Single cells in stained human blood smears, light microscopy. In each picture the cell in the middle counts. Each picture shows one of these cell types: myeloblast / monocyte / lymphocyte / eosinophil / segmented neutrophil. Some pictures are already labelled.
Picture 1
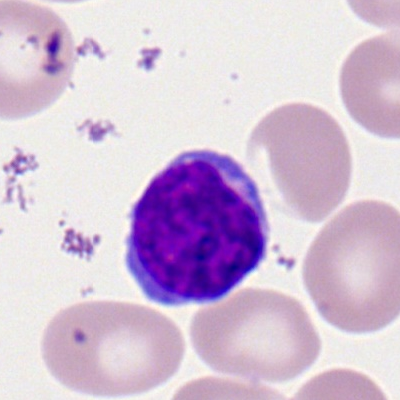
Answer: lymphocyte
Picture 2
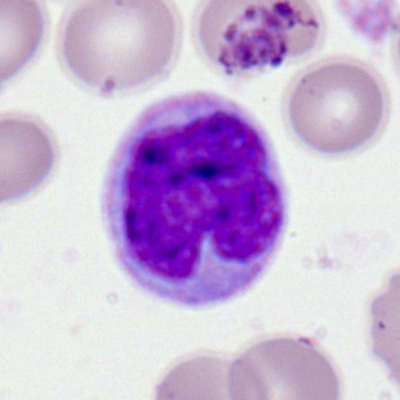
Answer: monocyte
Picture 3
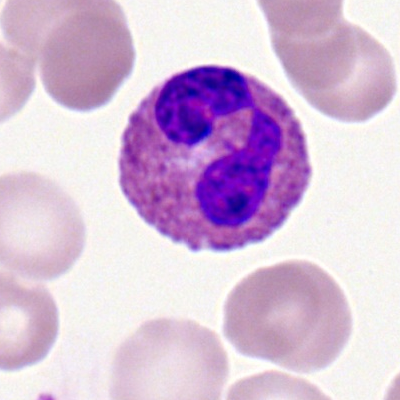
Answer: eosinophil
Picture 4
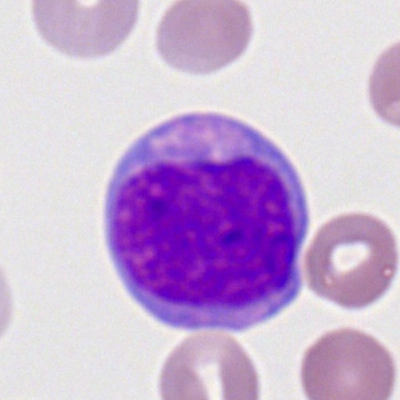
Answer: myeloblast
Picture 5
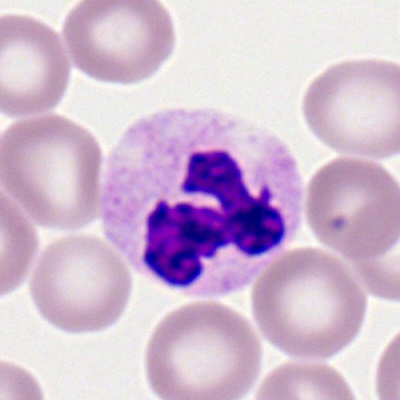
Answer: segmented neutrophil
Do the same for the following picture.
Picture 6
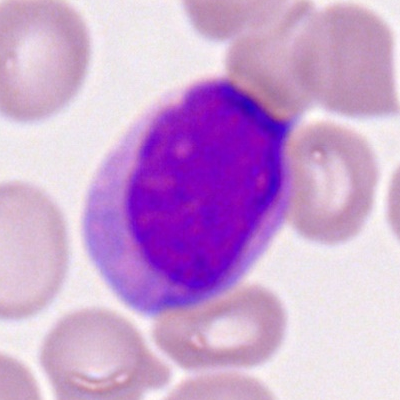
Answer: myeloblast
